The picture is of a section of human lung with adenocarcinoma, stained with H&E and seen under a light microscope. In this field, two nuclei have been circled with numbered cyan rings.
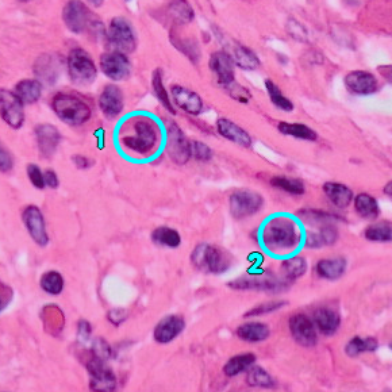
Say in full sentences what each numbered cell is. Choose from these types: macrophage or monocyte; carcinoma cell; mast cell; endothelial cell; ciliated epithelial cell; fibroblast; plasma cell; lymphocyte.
Cell 1 is a plasma cell and cell 2 is a lymphocyte.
